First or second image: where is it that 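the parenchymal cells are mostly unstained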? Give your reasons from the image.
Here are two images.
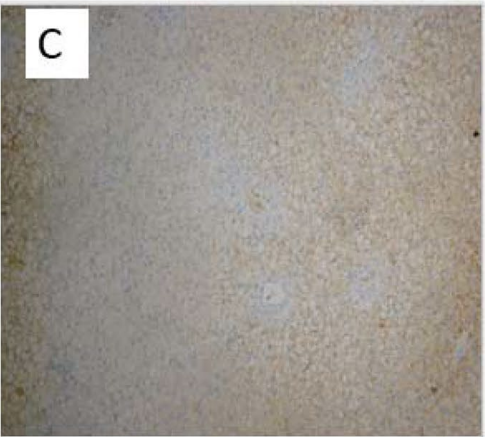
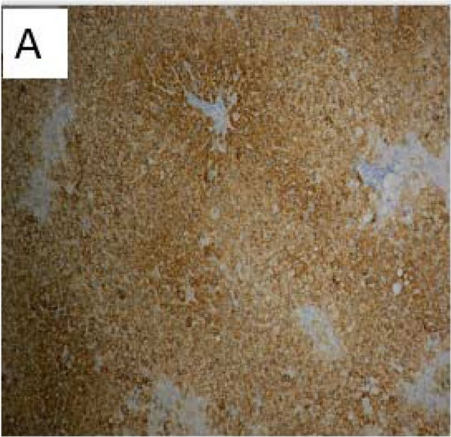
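The first image. First image: the parenchyma is pale grey-blue with only faint brown tint. Second image: the parenchyma is densely and evenly brown.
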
